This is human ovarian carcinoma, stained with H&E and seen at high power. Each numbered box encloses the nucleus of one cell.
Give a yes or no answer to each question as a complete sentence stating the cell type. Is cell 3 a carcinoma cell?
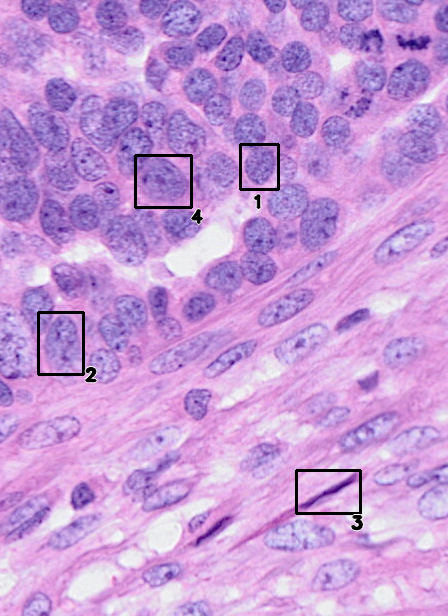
No, the cell given the number 3 is a fibroblast, so not a carcinoma cell.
